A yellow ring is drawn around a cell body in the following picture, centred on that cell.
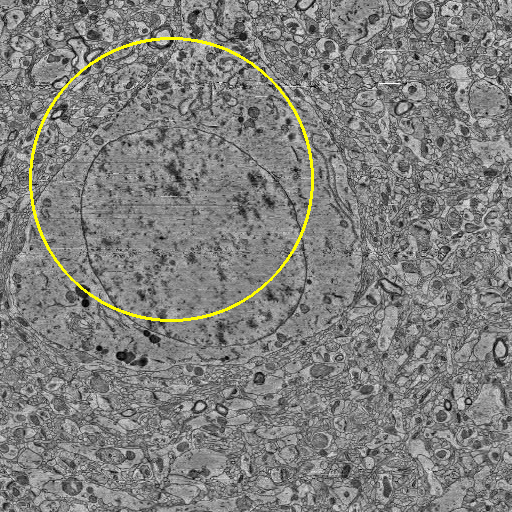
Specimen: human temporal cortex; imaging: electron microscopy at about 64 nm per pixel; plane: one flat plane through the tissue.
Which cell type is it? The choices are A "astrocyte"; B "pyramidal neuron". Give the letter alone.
B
